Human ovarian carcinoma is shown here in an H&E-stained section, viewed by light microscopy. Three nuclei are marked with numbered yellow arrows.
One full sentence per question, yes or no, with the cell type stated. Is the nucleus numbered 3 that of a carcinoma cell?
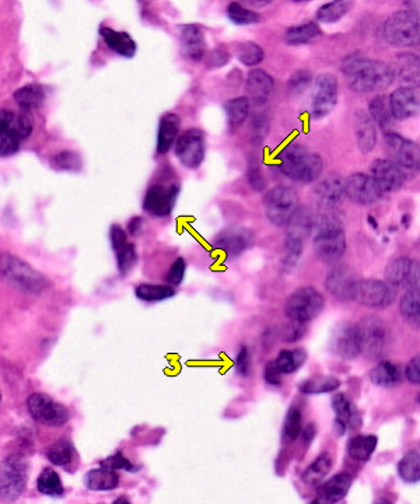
No, cell 3 is not a carcinoma cell, but is instead a macrophage or monocyte.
